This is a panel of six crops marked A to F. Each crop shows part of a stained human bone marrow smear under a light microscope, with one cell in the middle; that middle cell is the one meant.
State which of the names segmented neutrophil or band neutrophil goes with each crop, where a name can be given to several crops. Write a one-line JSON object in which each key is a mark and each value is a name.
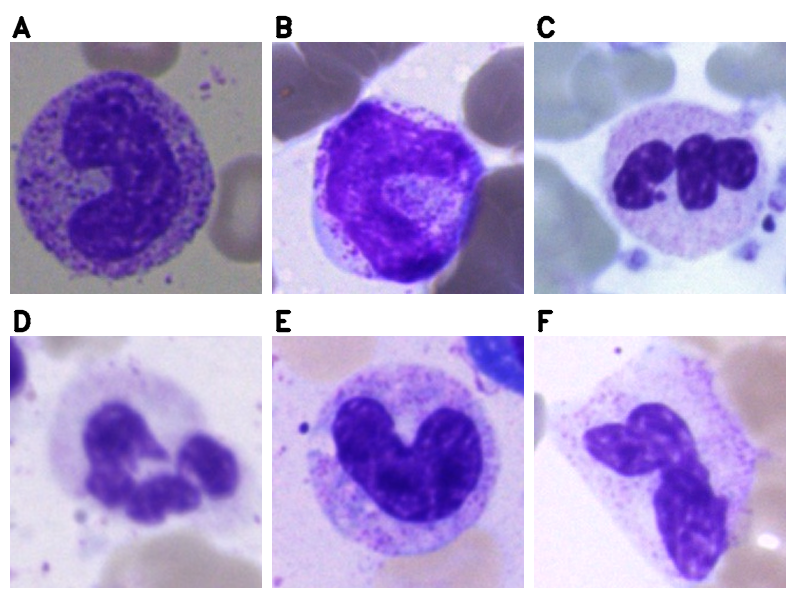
{"A": "band neutrophil", "B": "band neutrophil", "C": "segmented neutrophil", "D": "segmented neutrophil", "E": "band neutrophil", "F": "band neutrophil"}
